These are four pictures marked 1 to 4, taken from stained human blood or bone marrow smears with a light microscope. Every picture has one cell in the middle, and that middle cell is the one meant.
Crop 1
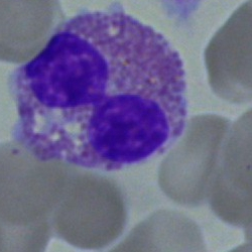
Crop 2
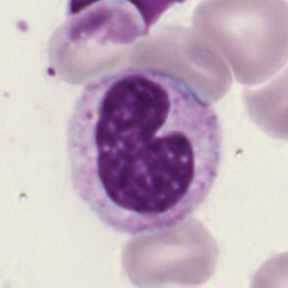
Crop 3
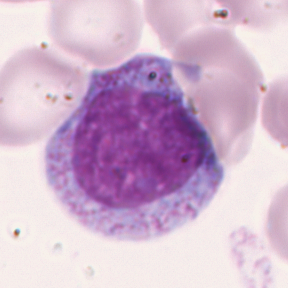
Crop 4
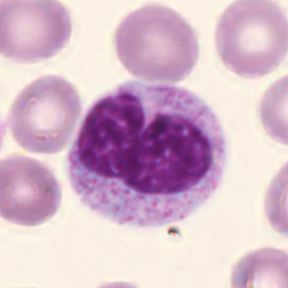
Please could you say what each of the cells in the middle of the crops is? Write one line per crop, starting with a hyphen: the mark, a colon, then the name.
- 1: eosinophil
- 2: band neutrophil
- 3: promyelocyte
- 4: band neutrophil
